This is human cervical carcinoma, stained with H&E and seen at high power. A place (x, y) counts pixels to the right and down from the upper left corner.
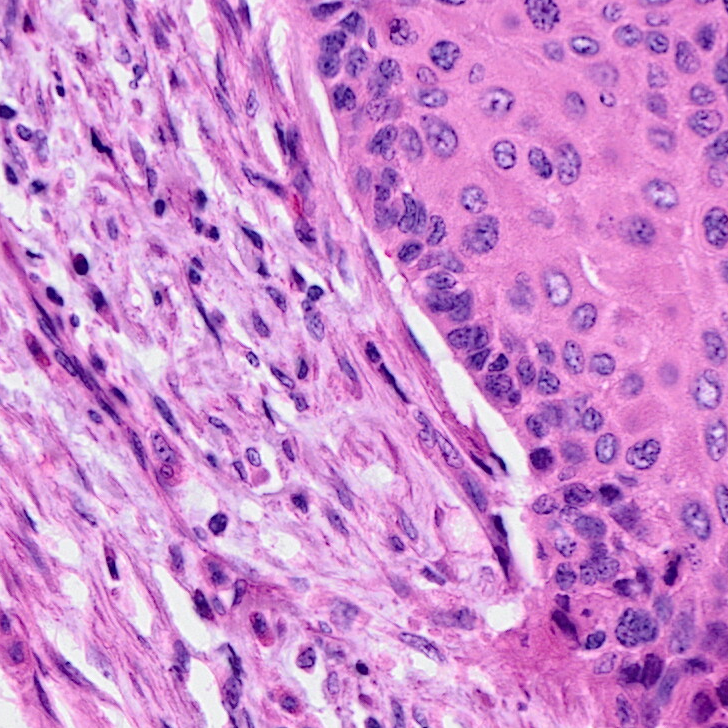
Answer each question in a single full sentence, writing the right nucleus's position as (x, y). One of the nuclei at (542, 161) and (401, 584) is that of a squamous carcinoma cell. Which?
It is the nucleus at (542, 161) that belongs to a squamous carcinoma cell.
